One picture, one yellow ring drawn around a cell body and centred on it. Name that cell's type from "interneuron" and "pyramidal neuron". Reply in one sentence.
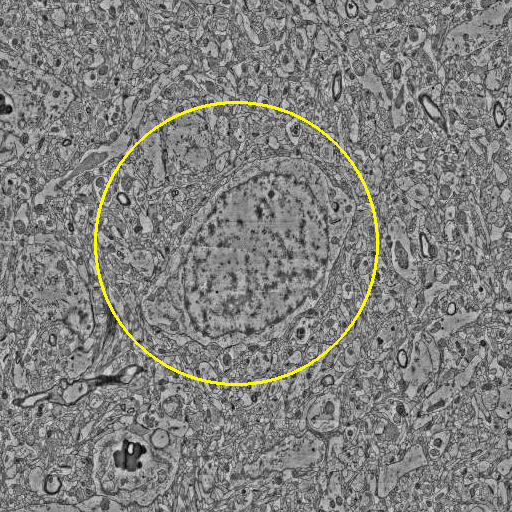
Centred in the ring is an interneuron.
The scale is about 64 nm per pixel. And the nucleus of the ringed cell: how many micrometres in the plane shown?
The nucleus has a long axis of about 12 micrometres and a short axis of about 8 micrometres in this plane.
